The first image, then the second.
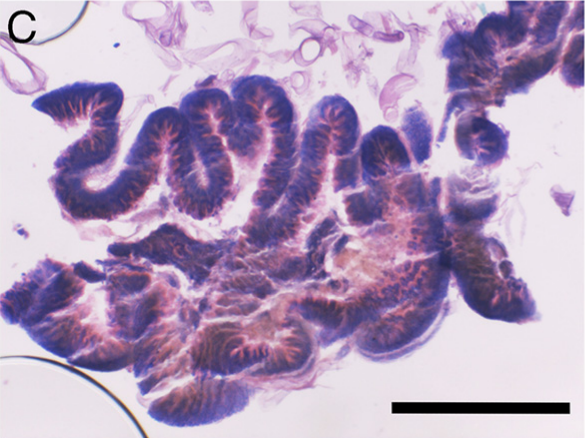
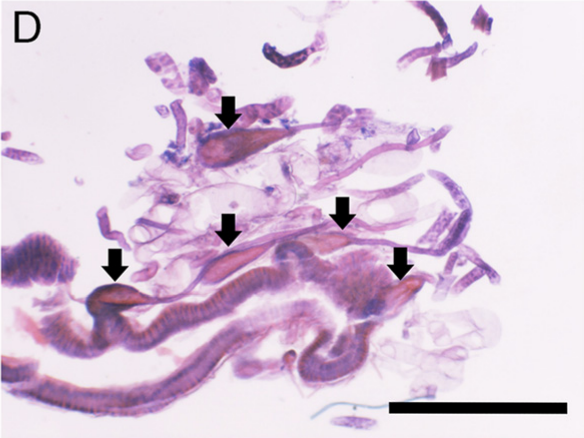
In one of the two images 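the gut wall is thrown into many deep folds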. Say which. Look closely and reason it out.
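First image: the gut wall forms tightly packed deep loops and folds. That points to this answer: the first image.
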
